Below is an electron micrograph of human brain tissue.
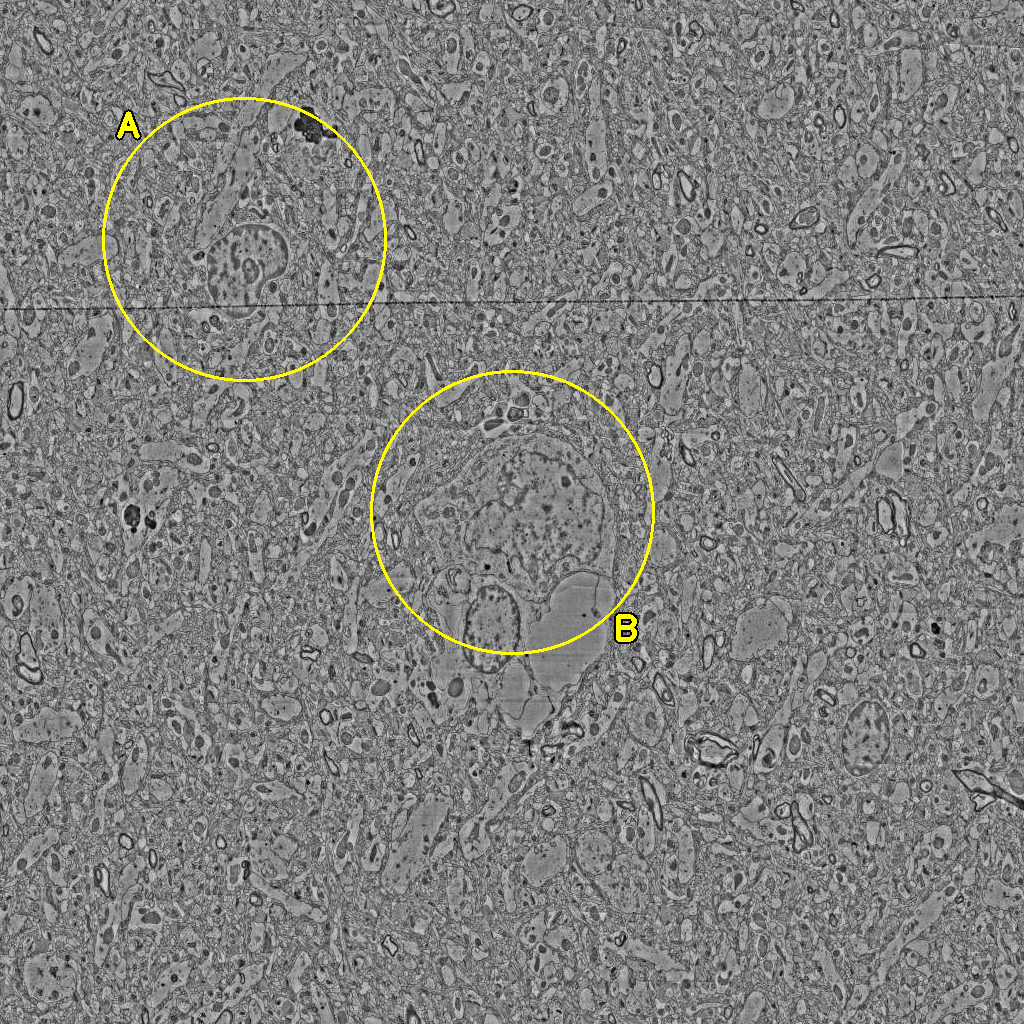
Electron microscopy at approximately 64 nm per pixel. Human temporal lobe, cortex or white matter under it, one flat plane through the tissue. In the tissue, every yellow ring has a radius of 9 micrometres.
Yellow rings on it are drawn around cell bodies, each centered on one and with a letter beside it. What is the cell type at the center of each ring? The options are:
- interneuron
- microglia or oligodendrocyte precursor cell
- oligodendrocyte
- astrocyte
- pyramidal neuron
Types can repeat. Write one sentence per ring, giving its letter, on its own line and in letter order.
At the center of ring A is a microglial cell or oligodendrocyte precursor cell.
At the center of ring B is an interneuron.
